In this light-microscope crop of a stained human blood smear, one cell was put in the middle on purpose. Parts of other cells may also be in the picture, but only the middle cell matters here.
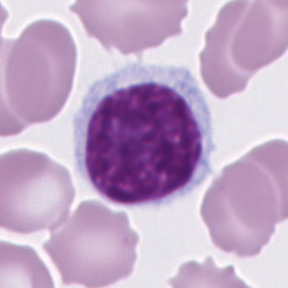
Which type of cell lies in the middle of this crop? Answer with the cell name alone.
hairy cell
